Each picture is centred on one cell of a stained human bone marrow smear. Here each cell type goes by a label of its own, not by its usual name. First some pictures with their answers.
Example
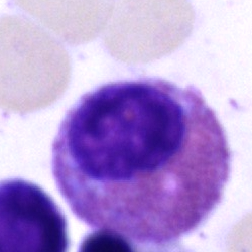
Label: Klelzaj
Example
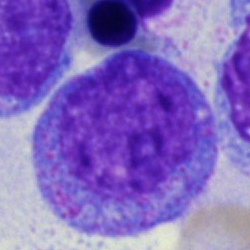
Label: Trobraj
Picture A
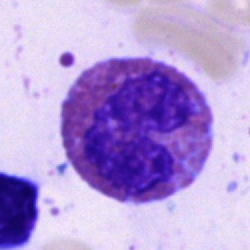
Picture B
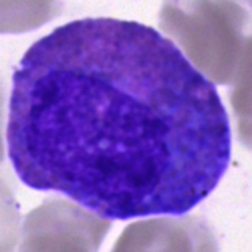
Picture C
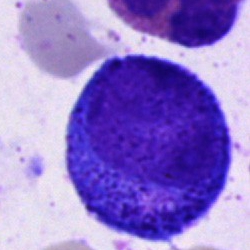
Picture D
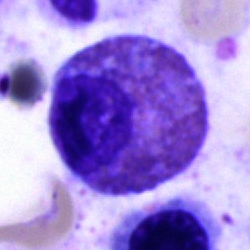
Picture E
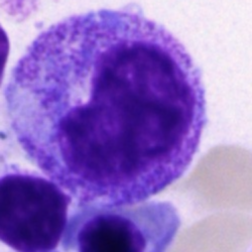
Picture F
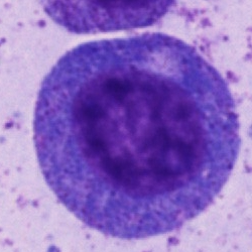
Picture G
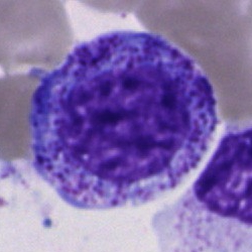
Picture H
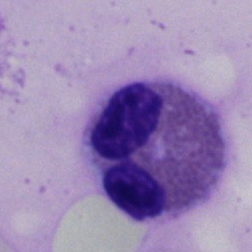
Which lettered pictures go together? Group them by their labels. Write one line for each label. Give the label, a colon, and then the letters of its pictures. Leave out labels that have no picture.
Klelzaj: A, B, D, H
Trobraj: C, E, F, G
